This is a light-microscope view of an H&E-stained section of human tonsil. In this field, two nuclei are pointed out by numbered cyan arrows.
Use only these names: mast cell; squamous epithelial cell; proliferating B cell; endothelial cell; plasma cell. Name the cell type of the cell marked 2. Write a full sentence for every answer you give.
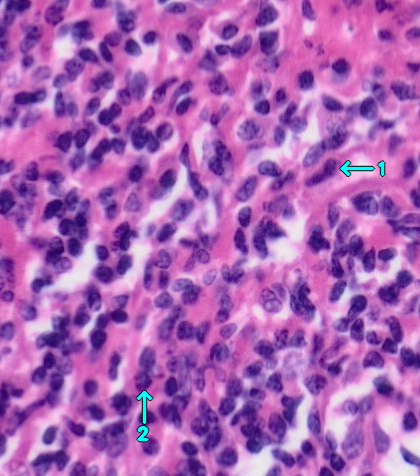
The cell marked with the number 2 is a plasma cell.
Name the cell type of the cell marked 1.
Corresponding to an endothelial cell is the cell labelled 1.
